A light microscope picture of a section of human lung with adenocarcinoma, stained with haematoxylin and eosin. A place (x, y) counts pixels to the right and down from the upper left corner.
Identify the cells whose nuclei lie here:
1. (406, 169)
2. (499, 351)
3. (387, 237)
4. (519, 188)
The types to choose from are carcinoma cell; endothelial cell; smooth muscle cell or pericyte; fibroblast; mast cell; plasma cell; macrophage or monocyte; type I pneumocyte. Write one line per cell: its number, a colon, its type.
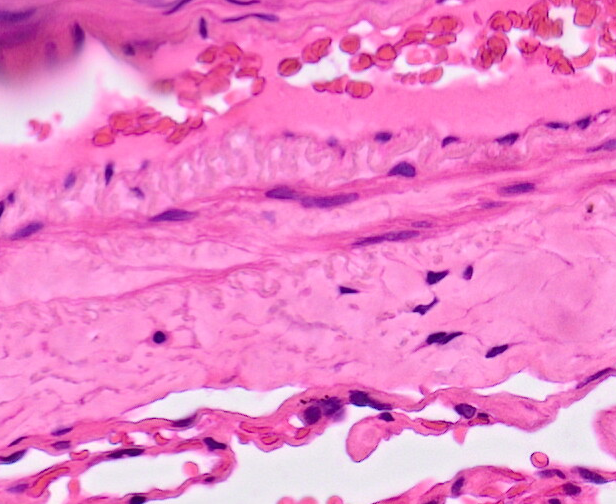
1: smooth muscle cell or pericyte
2: fibroblast
3: smooth muscle cell or pericyte
4: smooth muscle cell or pericyte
